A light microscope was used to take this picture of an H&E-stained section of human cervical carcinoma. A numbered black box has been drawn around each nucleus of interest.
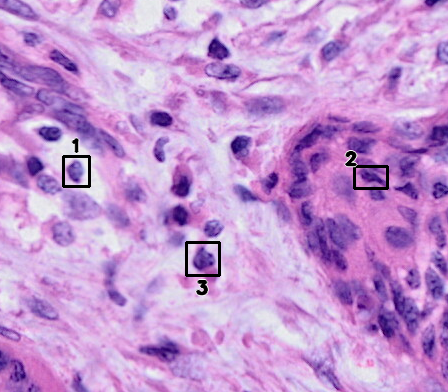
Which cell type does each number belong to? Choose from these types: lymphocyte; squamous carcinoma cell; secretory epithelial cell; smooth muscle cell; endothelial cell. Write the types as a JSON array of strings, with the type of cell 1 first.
["lymphocyte", "squamous carcinoma cell", "lymphocyte"]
